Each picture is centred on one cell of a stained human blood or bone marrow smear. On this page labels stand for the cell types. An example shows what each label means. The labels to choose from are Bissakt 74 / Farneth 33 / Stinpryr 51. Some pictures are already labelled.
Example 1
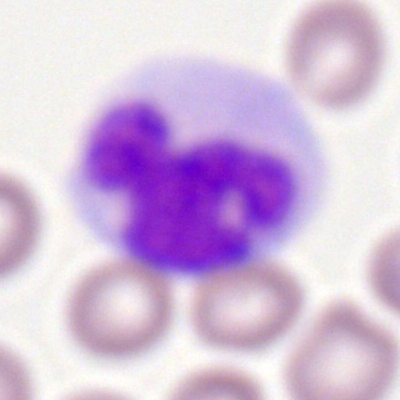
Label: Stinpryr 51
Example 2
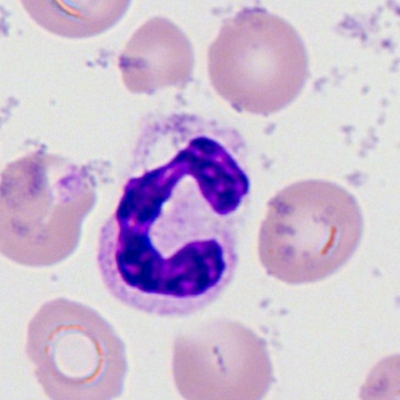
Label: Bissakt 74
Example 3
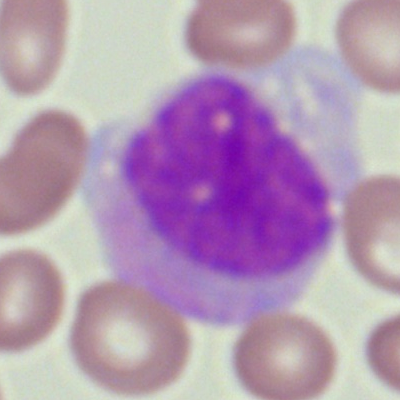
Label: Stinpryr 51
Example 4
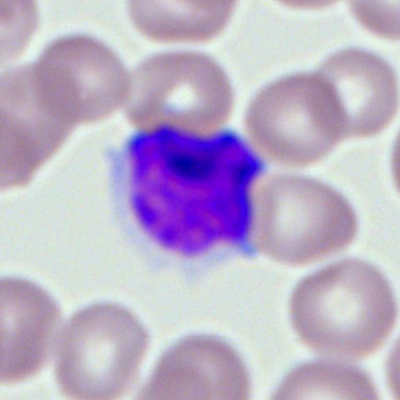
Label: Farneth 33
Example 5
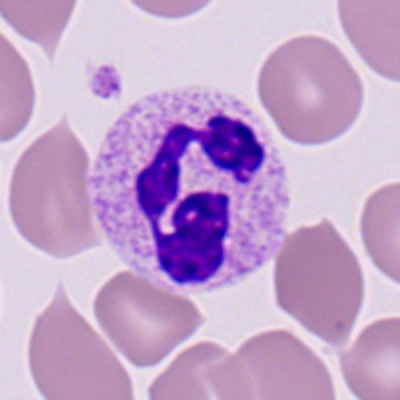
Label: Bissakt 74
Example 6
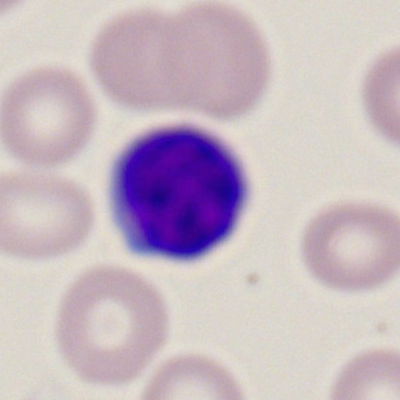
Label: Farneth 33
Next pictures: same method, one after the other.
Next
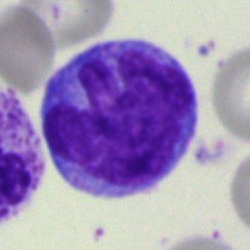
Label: Stinpryr 51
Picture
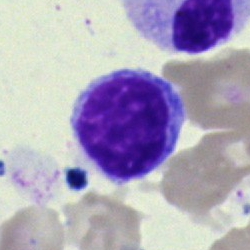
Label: Farneth 33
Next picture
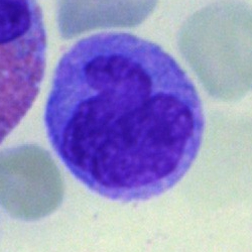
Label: Stinpryr 51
